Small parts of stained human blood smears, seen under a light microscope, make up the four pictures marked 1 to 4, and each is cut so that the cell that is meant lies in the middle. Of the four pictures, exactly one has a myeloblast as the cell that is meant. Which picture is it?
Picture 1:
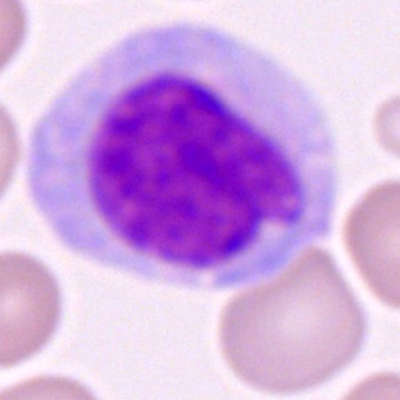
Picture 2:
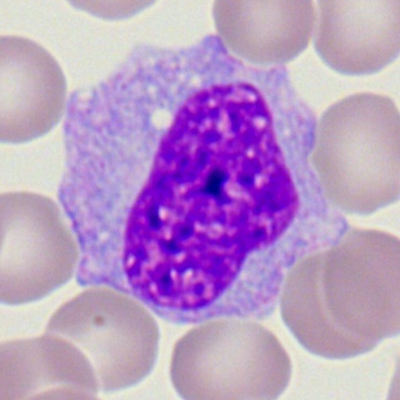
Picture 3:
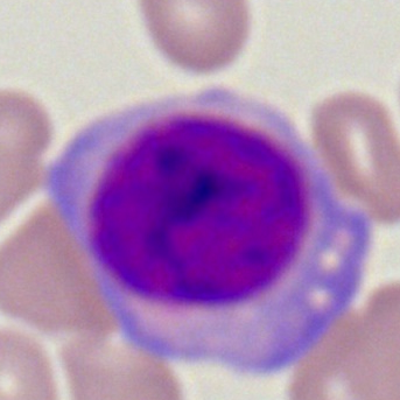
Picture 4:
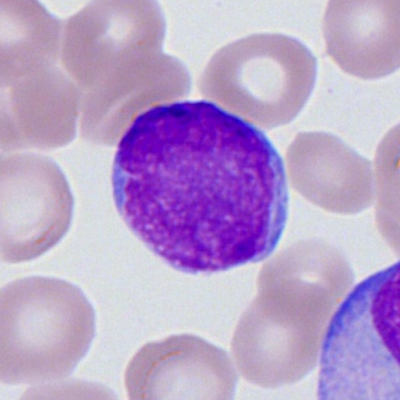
4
